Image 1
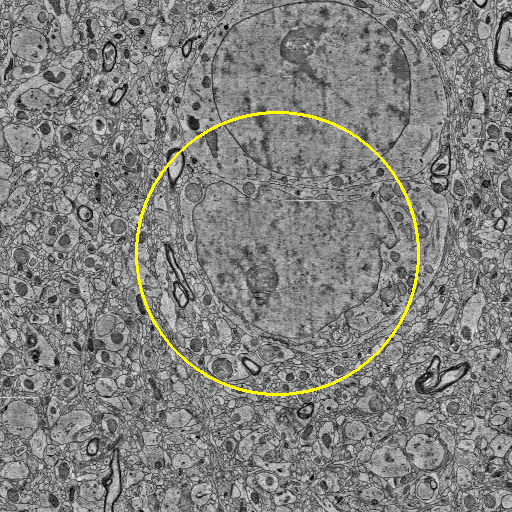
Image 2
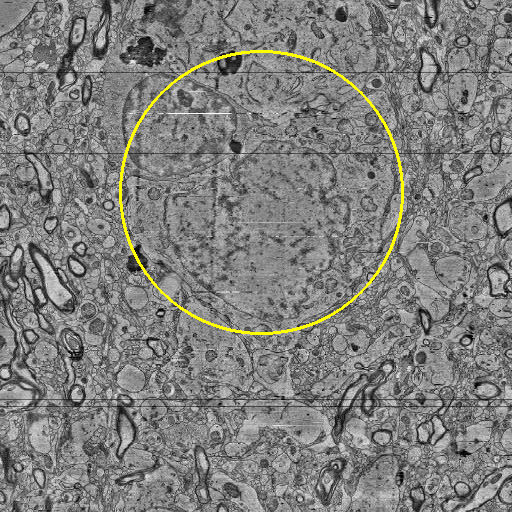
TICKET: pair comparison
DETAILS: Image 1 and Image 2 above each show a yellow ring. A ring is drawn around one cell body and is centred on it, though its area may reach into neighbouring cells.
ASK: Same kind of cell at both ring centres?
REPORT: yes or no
yes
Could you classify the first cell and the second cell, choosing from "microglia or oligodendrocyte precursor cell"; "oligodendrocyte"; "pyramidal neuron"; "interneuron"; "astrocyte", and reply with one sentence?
In each of the two pictures, the ringed cell is an interneuron.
